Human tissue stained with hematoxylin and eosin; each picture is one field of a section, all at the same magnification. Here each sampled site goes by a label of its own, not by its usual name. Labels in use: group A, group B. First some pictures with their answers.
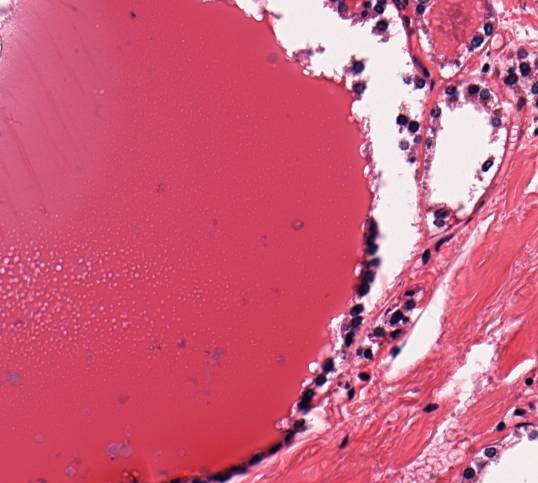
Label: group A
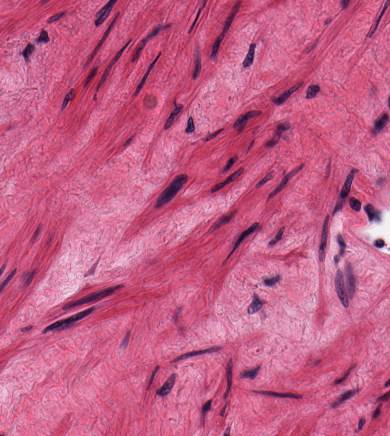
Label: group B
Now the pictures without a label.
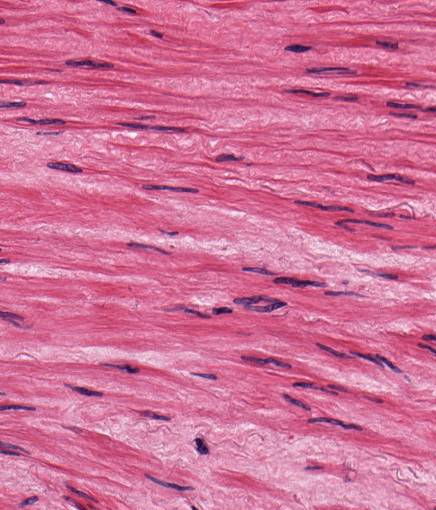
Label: group B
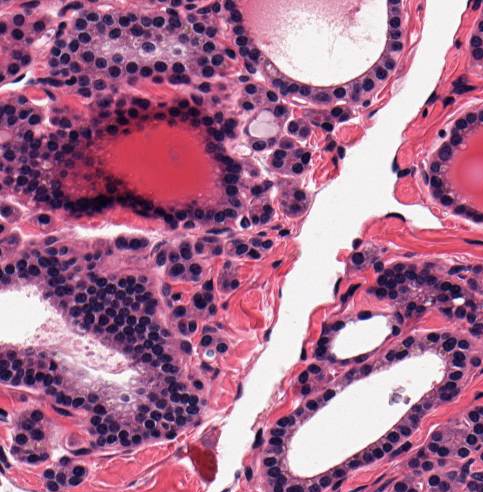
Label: group A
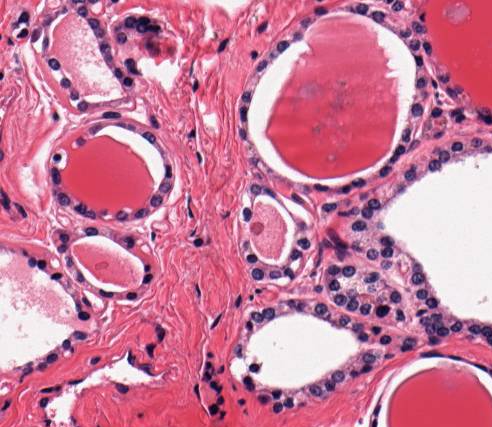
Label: group A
